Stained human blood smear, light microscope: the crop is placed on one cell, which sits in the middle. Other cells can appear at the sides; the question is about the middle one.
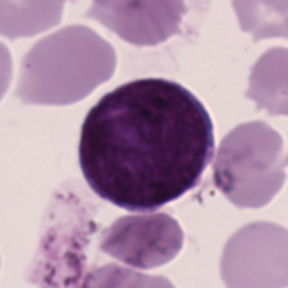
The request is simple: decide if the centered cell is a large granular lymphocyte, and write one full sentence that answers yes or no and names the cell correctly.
No, the correct answer for the middle cell is a myeloblast, not a large granular lymphocyte.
